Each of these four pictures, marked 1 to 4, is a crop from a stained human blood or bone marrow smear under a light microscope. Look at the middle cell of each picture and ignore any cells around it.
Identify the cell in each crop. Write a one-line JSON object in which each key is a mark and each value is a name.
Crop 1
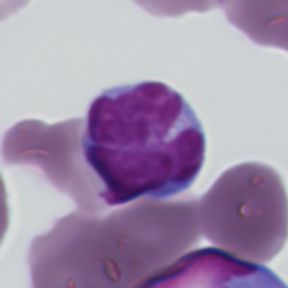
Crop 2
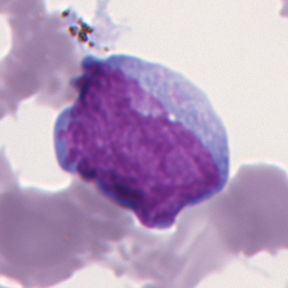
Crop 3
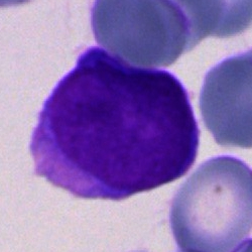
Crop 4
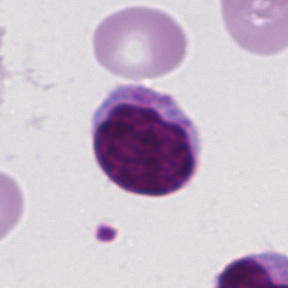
{"1": "lymphocyte", "2": "blast", "3": "blast", "4": "lymphocyte"}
